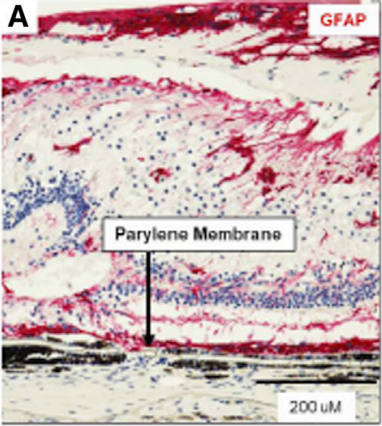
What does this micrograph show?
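Red strands and patches run through many levels of the retina, especially toward the top. Small round blue nuclei are gathered in bands, some of them wavy and folded, with scattered nuclei in between. Near the bottom a thin, dark, pigmented line lies along the membrane. The tissue below the membrane is pale and shows little red stain.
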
